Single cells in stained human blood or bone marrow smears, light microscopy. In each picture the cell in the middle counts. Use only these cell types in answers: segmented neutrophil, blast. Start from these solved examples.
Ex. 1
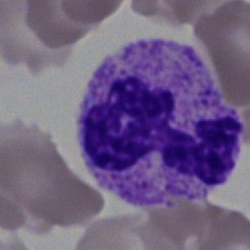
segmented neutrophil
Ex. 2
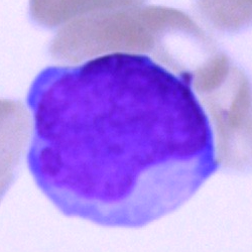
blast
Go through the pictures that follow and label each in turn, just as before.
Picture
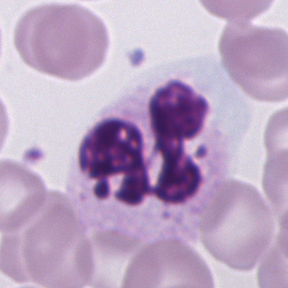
segmented neutrophil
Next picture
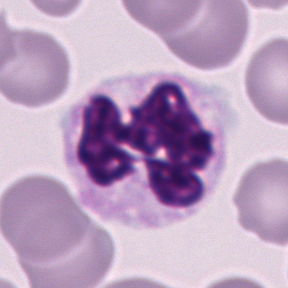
segmented neutrophil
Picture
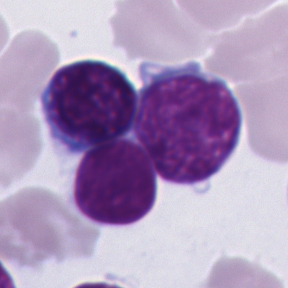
blast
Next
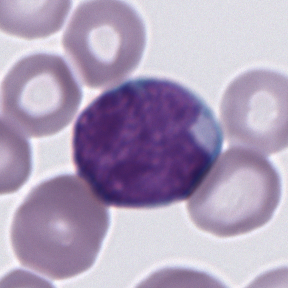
blast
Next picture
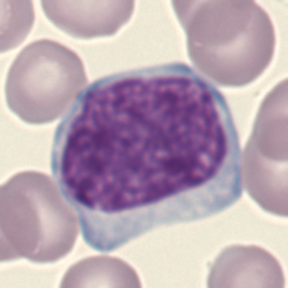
blast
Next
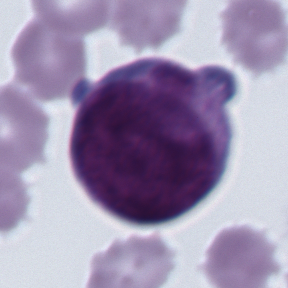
blast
